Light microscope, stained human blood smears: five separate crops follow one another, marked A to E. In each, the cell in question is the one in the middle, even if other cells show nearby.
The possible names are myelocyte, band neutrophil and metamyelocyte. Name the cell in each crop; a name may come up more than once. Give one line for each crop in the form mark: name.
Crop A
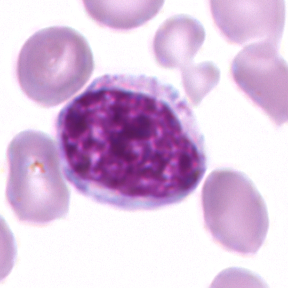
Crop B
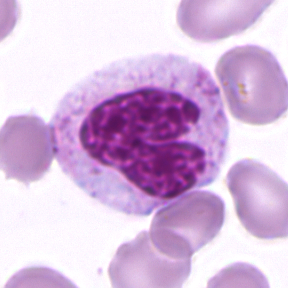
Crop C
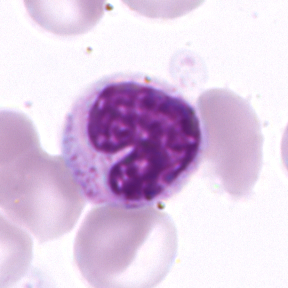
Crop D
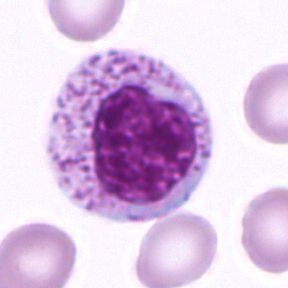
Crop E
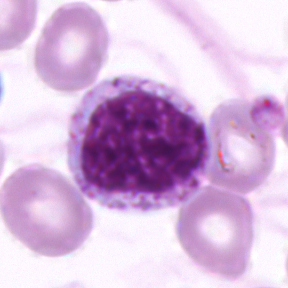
A: metamyelocyte
B: band neutrophil
C: band neutrophil
D: myelocyte
E: metamyelocyte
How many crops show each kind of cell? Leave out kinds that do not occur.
metamyelocyte: 2
band neutrophil: 2
myelocyte: 1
